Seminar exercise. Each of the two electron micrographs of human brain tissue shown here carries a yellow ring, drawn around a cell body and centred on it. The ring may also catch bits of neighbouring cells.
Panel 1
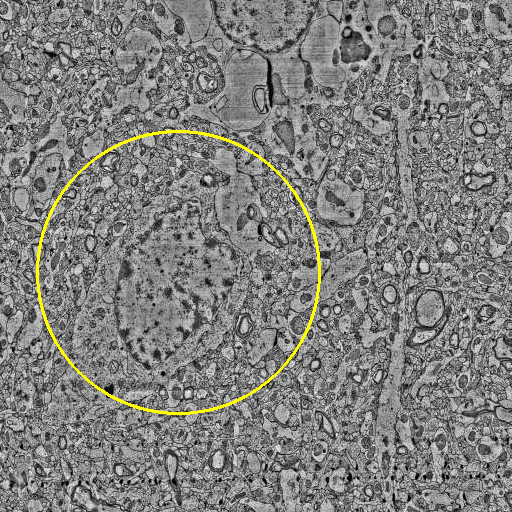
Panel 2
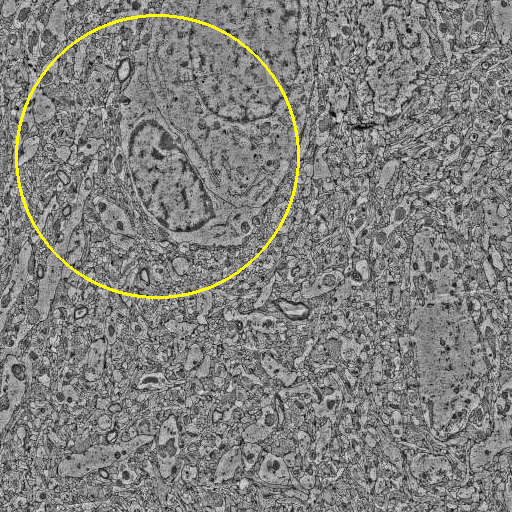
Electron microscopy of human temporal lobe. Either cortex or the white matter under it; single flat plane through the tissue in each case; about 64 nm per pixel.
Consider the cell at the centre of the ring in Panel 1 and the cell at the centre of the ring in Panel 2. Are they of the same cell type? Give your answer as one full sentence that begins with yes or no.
No, the two cells are of two types.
